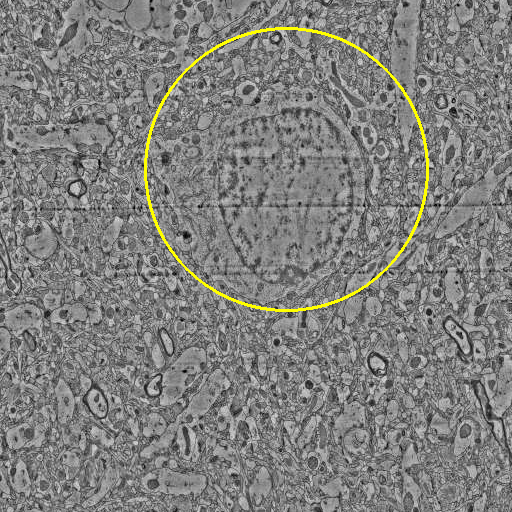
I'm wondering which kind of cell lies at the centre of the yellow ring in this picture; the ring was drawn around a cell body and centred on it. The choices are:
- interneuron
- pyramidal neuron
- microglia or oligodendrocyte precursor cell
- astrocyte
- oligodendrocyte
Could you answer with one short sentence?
At the centre of the ring lies an interneuron.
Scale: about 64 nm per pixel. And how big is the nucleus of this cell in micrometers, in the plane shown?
The nucleus is approximately 11 micrometers long by 9 micrometers wide in this plane.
